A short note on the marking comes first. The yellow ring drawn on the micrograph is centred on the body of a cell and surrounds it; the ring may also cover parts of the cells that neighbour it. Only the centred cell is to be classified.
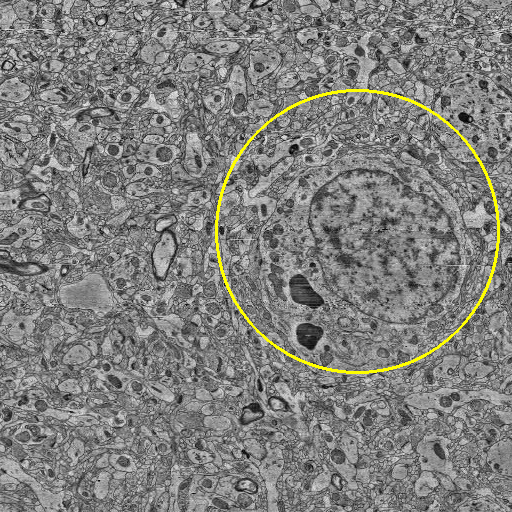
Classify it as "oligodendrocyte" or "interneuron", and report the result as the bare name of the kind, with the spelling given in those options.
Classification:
interneuron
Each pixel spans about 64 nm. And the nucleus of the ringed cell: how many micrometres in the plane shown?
About 11 by 9 micrometers, in this plane.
